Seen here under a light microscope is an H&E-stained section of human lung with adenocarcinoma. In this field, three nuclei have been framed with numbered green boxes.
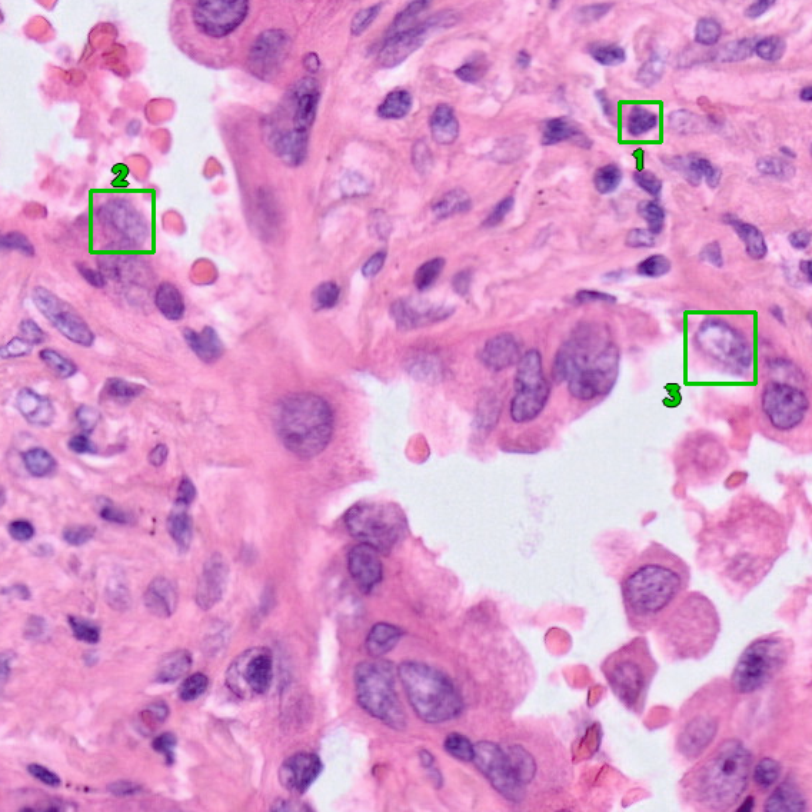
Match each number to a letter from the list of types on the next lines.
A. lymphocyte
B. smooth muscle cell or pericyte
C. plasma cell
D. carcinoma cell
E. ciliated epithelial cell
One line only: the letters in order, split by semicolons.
A; D; D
